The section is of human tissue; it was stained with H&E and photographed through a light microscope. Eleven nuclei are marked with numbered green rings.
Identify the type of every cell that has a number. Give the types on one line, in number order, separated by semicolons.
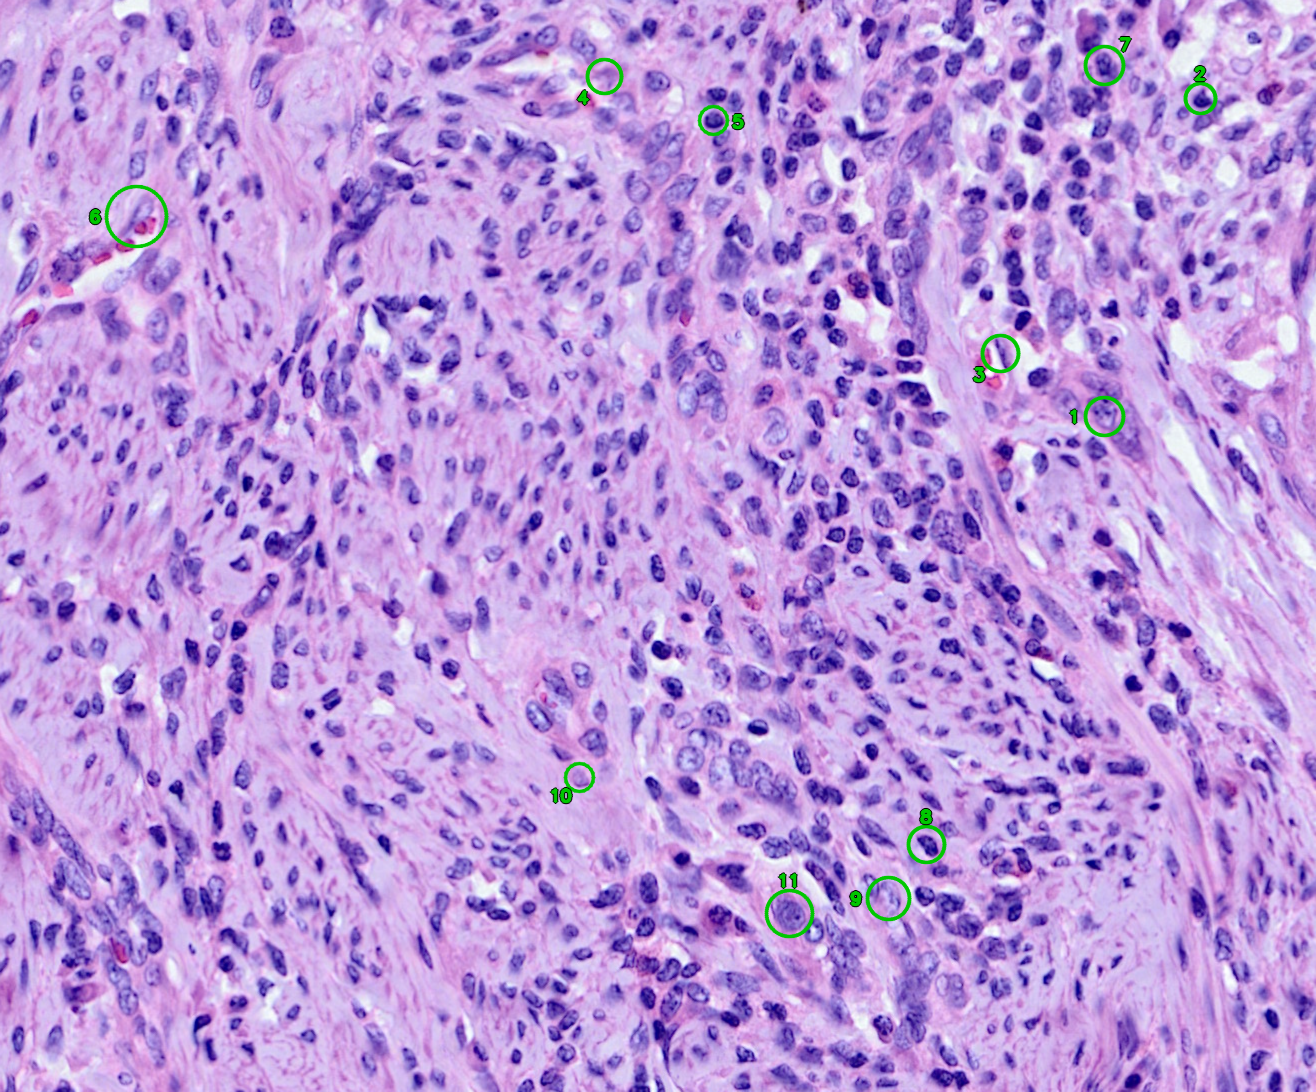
endothelial cell; lymphocyte; endothelial cell; endothelial cell; lymphocyte; endothelial cell; lymphocyte; lymphocyte; endothelial cell; smooth muscle cell; endothelial cell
